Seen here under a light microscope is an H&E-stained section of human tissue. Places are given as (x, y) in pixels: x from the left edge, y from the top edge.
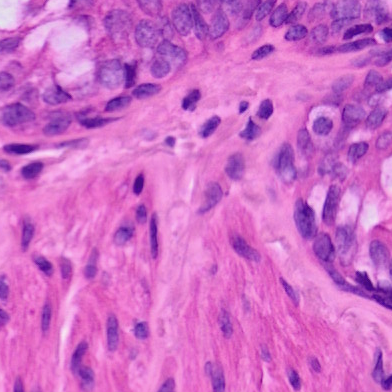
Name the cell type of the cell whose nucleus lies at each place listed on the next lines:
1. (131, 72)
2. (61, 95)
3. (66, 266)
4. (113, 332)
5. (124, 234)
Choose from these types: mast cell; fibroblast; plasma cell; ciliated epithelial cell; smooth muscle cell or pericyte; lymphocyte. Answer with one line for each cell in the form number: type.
1: ciliated epithelial cell
2: ciliated epithelial cell
3: smooth muscle cell or pericyte
4: smooth muscle cell or pericyte
5: smooth muscle cell or pericyte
